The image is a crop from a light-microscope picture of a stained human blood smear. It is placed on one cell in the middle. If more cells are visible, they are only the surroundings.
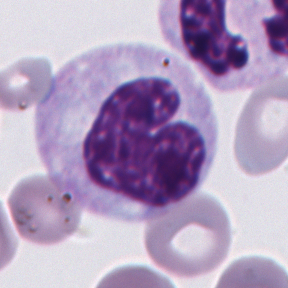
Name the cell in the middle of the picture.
band neutrophil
